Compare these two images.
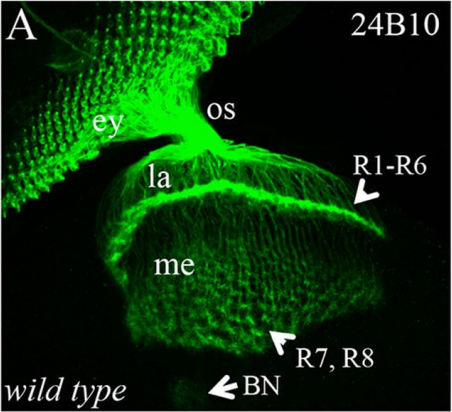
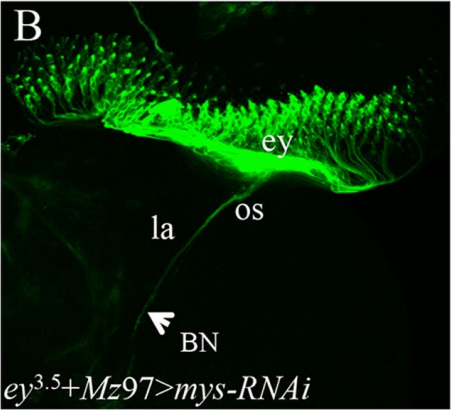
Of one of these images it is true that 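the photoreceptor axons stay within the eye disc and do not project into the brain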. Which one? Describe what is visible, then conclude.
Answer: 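Second image: the green axons gather in a dense bundle along the eye disc and no broad axon bundle enters the brain lobe. First image: a thick green axon bundle passes through the stalk and fans out into a bright band and a deeper array of endings in the brain lobe.
The second image.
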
